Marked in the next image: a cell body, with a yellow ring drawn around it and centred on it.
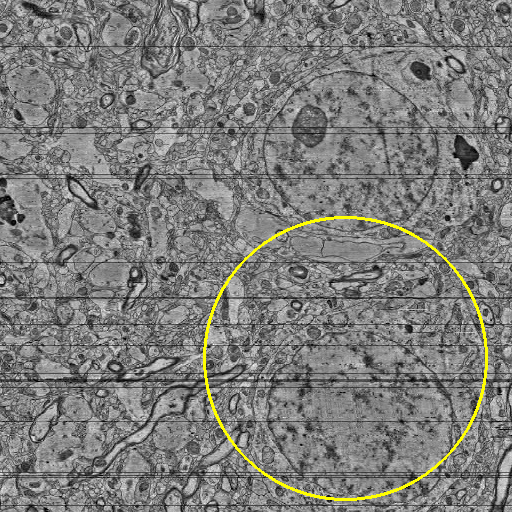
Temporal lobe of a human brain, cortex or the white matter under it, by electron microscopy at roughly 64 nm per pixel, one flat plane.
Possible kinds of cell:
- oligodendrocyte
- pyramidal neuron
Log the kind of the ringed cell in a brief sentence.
The ringed cell body is that of a pyramidal neuron.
